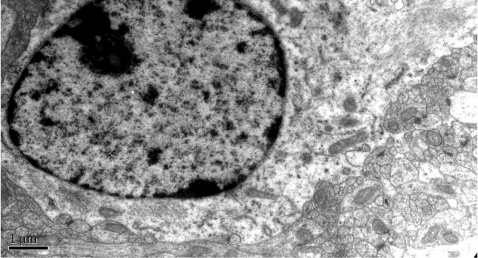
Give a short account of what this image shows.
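The nucleus is bounded by a clear nuclear envelope and holds chromatin in patches, with darker clumps scattered through a paler nucleoplasm. Around it lies a rim of cytoplasm with membranous organelles, among them mitochondria in cross-section. Beyond the cell, neighbouring cell profiles and membranes of the surrounding tissue can be seen. No dark, round, dense inclusions stand out in the cytoplasm.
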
